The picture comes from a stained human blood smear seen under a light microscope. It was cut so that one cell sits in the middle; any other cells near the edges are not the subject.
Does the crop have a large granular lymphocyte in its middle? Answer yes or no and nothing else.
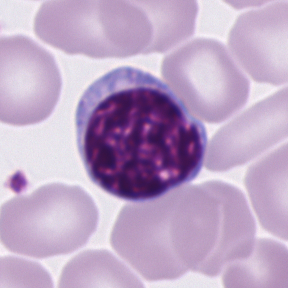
no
